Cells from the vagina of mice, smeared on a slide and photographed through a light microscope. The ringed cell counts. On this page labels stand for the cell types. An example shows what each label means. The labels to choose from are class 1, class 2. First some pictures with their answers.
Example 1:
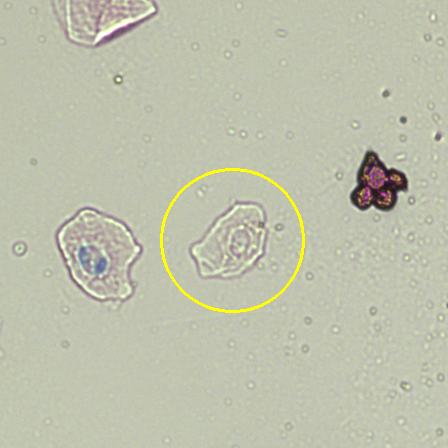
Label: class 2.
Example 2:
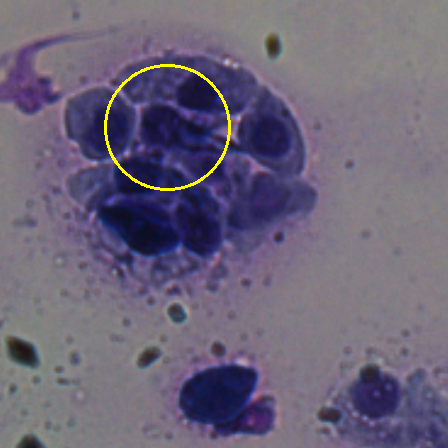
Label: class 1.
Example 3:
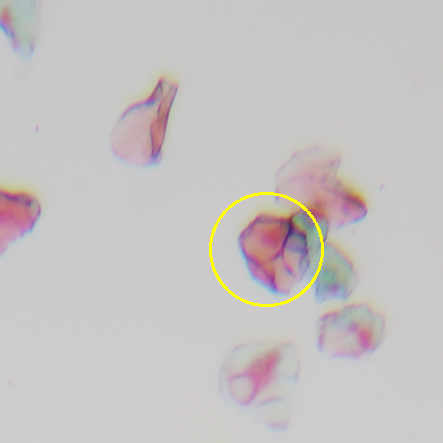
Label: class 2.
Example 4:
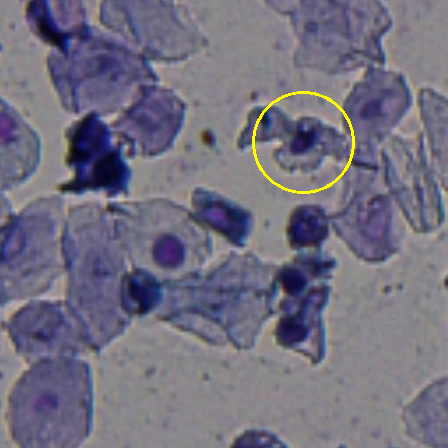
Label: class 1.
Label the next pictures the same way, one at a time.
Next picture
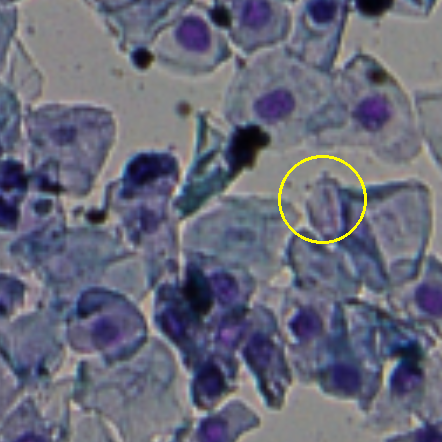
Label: class 2.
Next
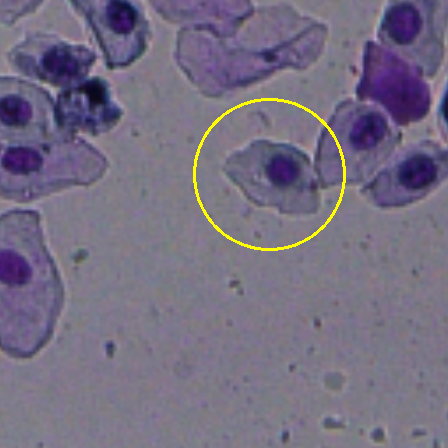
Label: class 1.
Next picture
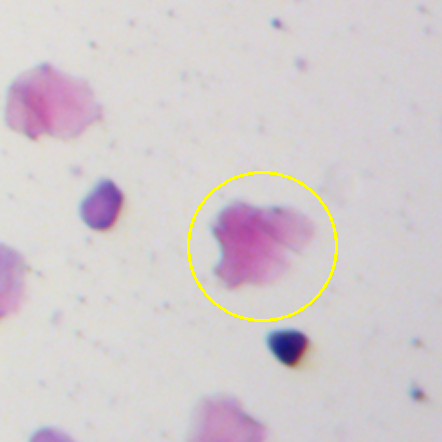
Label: class 2.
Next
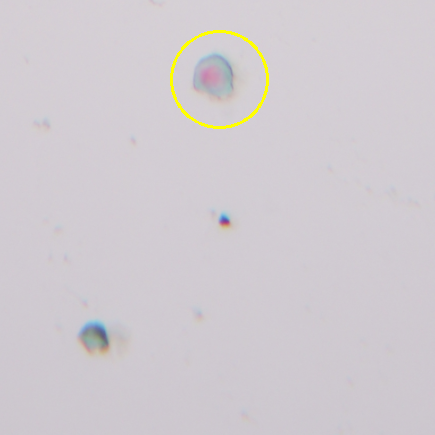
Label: class 1.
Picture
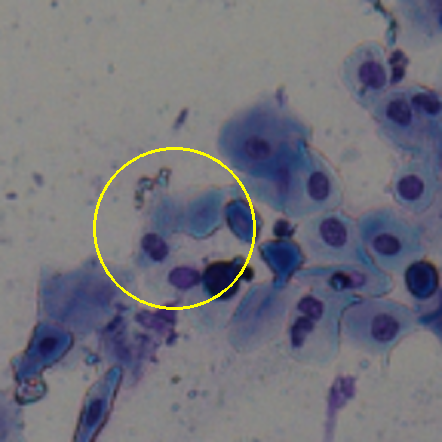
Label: class 1.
